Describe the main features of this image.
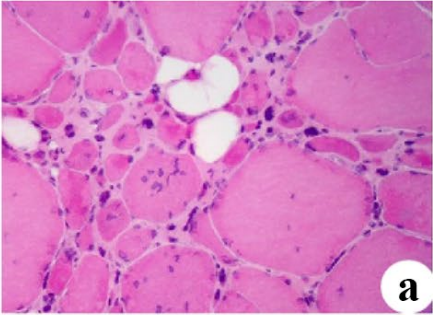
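Transverse section of skeletal muscle with pink fibers of strikingly different sizes: very large rounded fibers lie beside groups of small round or elongated atrophic fibers. Between the small fibers the connective tissue is widened and holds many dark nuclei, and a few clear empty spaces are present.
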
